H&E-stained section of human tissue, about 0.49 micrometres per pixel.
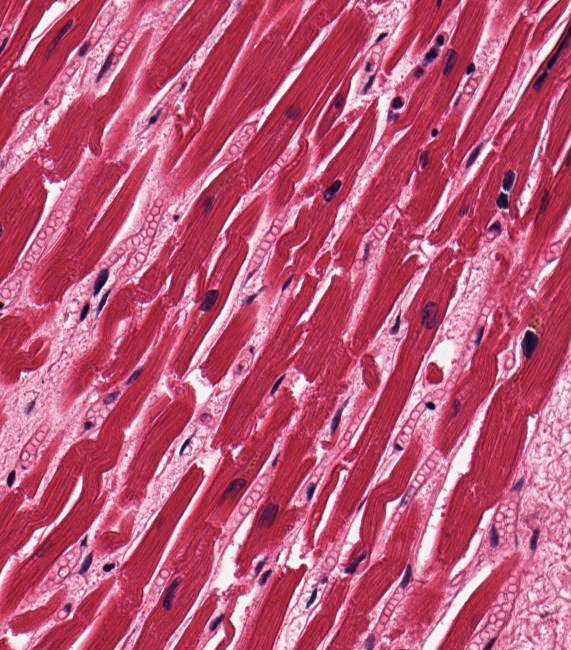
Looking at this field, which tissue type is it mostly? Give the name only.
myocardium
